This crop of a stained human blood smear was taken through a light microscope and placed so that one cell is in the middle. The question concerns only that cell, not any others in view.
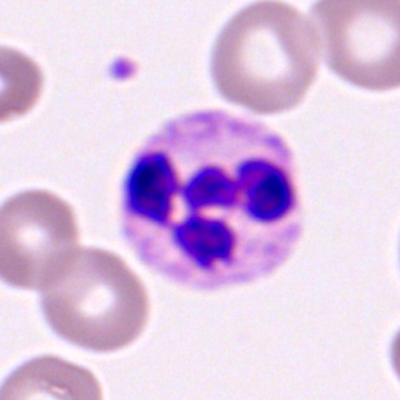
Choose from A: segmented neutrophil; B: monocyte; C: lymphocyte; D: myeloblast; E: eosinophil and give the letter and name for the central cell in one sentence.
Option A is the correct selection, for the cell at the centre is a segmented neutrophil.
